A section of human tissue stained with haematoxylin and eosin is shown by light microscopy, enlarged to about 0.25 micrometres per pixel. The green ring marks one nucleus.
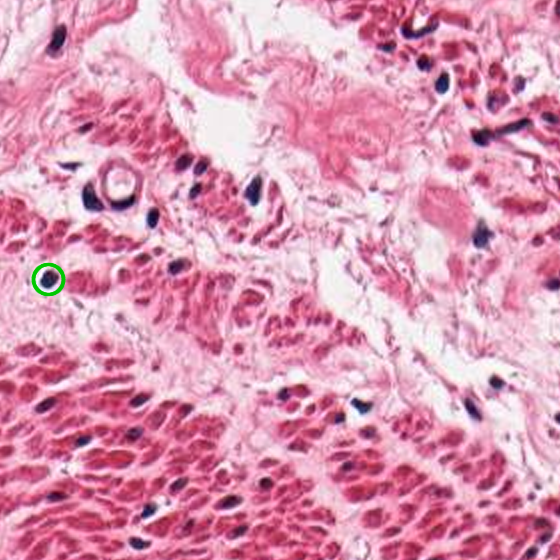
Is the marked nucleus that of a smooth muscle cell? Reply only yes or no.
no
